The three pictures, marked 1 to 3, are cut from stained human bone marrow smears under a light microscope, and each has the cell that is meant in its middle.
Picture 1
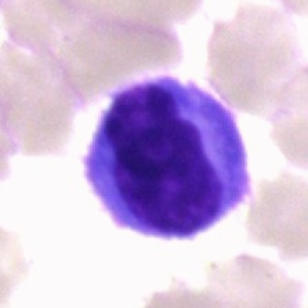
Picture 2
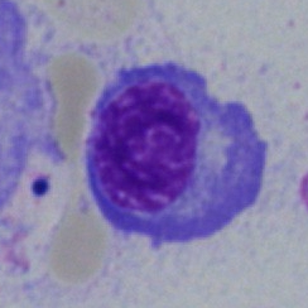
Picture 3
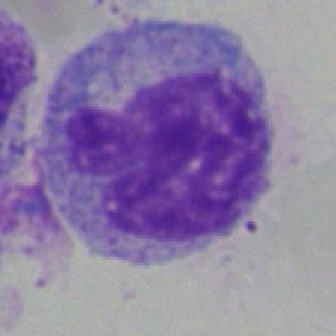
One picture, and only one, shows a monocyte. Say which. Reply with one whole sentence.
It is picture 3 that shows the monocyte.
